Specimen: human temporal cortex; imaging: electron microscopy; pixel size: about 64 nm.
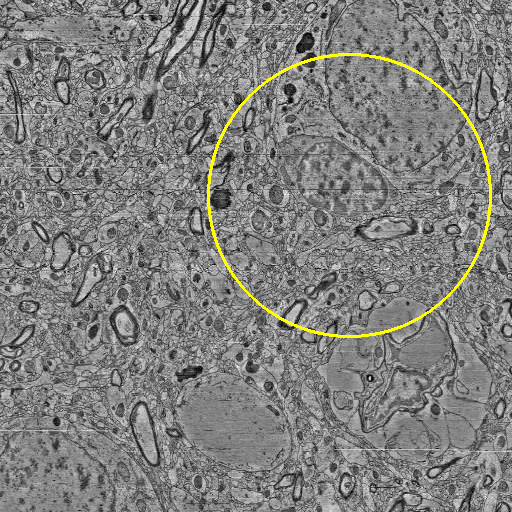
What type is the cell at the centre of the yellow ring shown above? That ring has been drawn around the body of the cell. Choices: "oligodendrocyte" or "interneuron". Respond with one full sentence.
My answer is that an oligodendrocyte lies at the centre of the yellow ring above.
